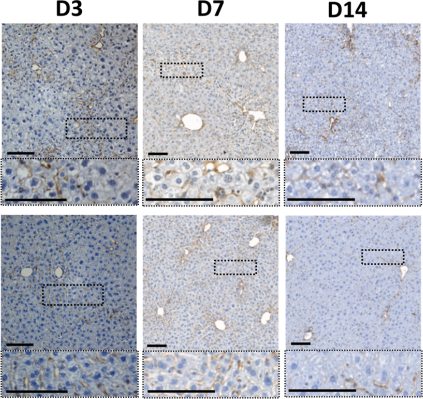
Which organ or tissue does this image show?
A: Liver.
